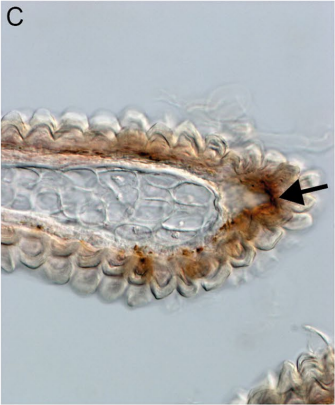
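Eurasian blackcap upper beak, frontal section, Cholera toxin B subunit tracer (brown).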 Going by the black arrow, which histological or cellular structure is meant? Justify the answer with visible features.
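Fiber terminals. Brown stain is concentrated at the tip of the projection beneath its surface layer. The arrow points to this dense brown spot.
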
